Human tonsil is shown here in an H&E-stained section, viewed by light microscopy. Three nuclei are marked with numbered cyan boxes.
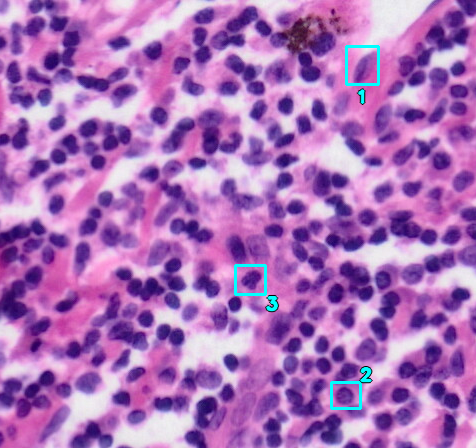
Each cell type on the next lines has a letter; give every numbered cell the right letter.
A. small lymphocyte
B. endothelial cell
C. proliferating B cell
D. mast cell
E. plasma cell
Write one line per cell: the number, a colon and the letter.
1: B
2: E
3: B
